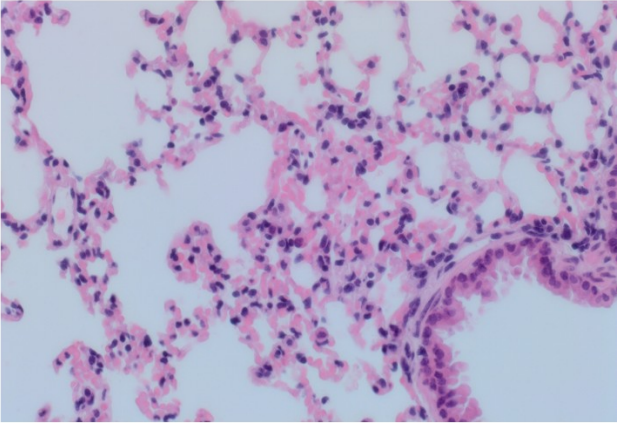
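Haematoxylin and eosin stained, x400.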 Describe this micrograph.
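This is lung tissue with a largely normal appearance. At the lower right a small airway is cut, its wall lined by a single layer of cuboidal to columnar epithelial cells with rounded nuclei, resting on a thin band of pink connective tissue and smooth muscle.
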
